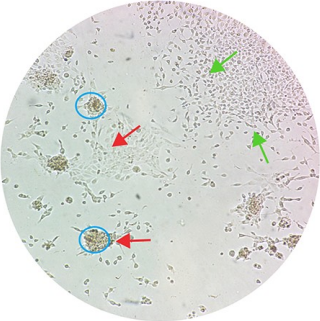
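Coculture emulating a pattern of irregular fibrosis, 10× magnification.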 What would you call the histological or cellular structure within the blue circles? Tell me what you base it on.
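The circled objects are compact, darker clusters of cells. They stand apart from the flat, spread single cells around them.
Answer: cells agglomerations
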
